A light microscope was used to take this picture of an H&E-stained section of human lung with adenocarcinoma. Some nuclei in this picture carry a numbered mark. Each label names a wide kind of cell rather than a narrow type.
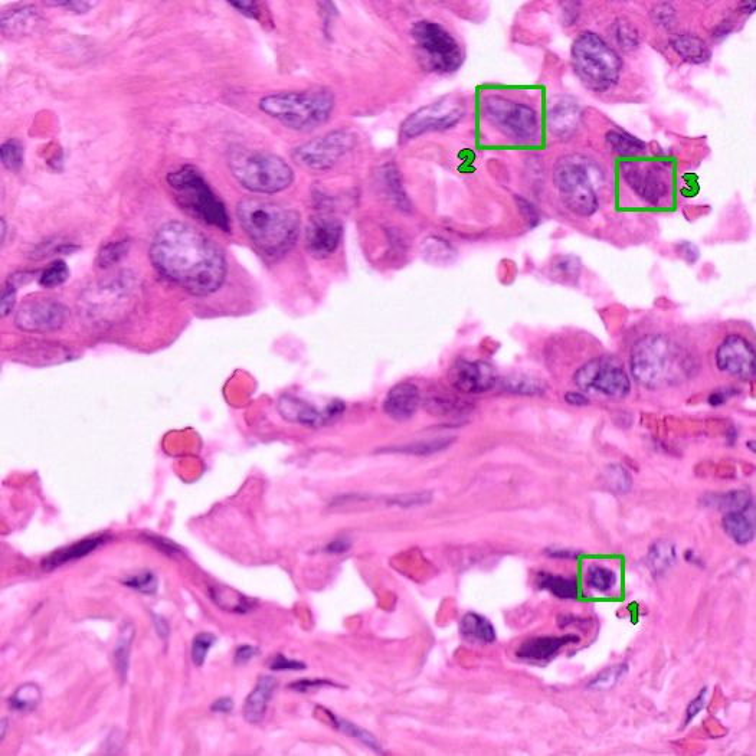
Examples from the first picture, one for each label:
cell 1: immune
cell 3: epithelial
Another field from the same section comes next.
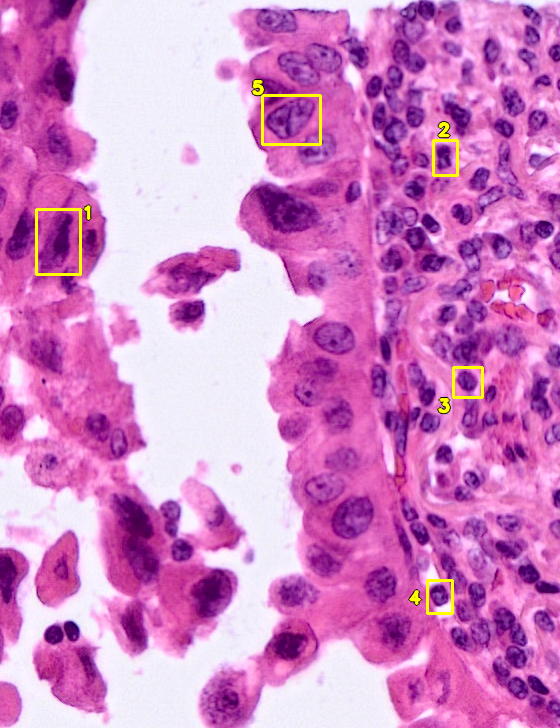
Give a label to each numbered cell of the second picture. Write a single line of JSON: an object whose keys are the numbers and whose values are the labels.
{"1": "epithelial", "2": "immune", "3": "immune", "4": "immune", "5": "epithelial"}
